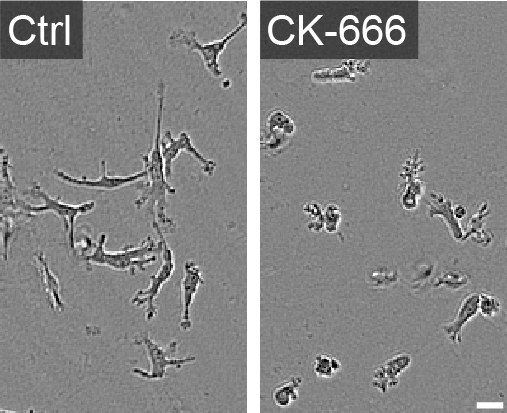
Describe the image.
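In the left image the cells are elongated and irregular, with several long, branching processes. In the right image the cells are smaller, more rounded and compact, with only short, ragged protrusions at their edges.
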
